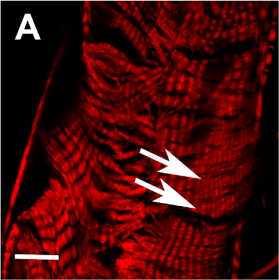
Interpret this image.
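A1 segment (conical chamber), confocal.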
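The fibers are closely packed and parallel, and each shows a regular cross-banded, striated pattern. Toward the edges of the field some bands run at other angles and fine longitudinal fibers can be seen.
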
